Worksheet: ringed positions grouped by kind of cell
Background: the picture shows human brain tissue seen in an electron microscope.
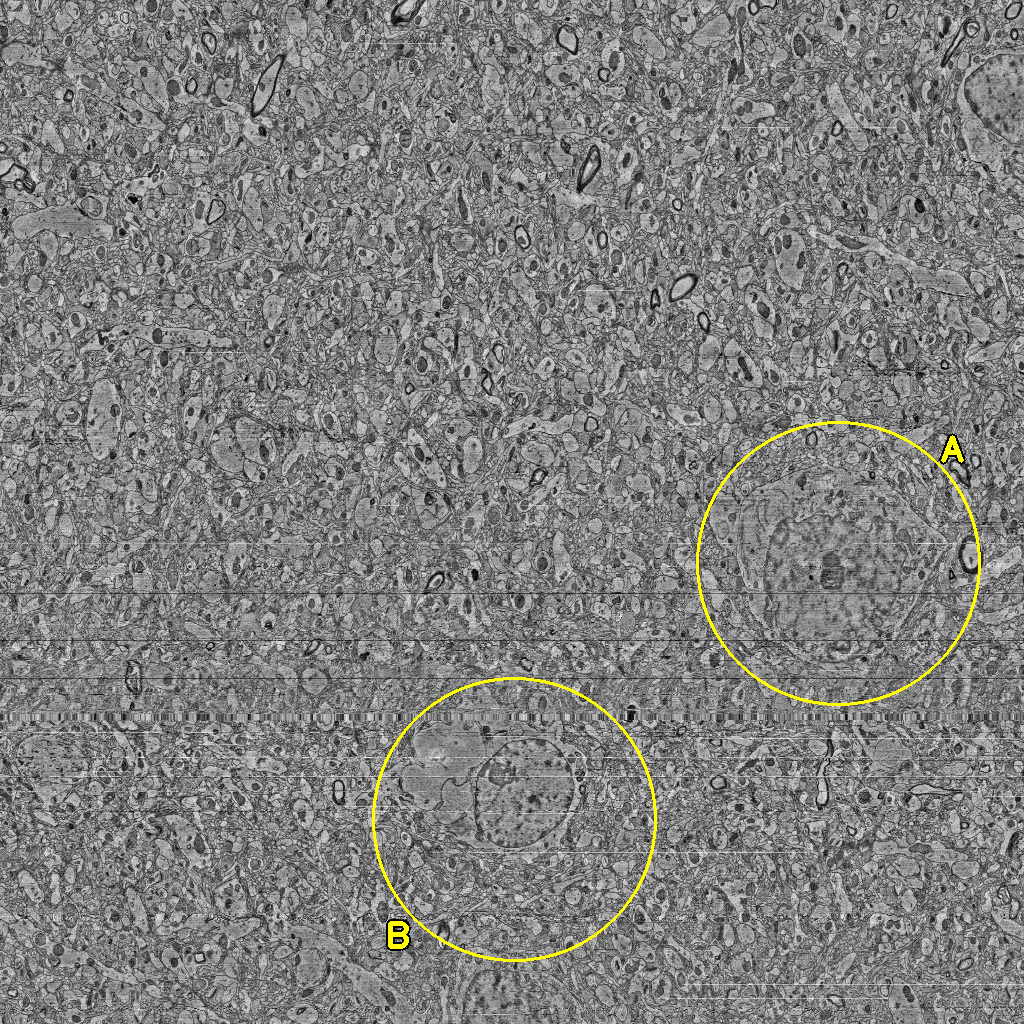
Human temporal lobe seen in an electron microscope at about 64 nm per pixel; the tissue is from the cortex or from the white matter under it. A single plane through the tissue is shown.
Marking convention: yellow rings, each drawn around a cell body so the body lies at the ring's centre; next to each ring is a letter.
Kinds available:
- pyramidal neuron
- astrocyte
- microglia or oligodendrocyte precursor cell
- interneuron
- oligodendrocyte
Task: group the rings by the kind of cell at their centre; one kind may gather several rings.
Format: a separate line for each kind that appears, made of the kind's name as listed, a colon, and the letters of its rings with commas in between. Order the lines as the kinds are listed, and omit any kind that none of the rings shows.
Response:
astrocyte: B
interneuron: A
